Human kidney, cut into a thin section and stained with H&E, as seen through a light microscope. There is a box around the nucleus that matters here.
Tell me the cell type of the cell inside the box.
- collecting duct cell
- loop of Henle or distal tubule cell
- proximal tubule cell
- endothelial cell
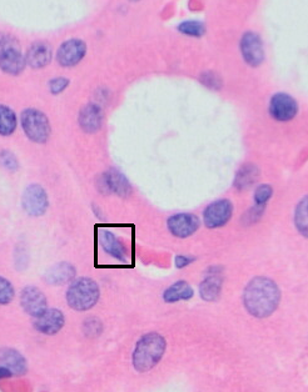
endothelial cell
